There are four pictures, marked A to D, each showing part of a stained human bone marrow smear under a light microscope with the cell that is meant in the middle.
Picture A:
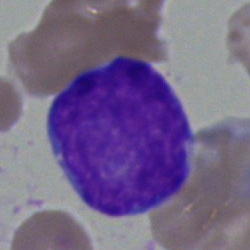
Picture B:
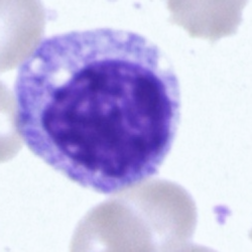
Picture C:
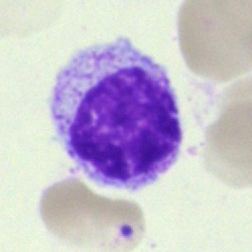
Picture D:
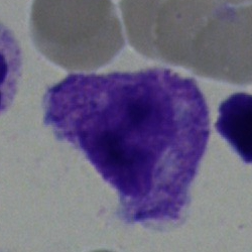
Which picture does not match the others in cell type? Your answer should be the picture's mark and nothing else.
A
